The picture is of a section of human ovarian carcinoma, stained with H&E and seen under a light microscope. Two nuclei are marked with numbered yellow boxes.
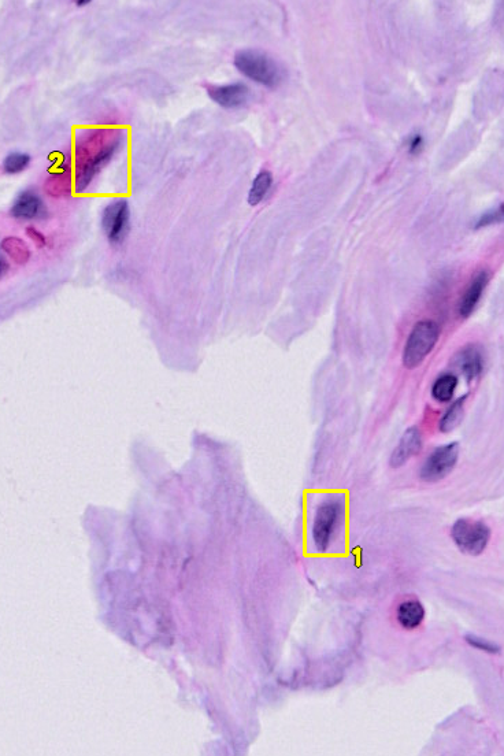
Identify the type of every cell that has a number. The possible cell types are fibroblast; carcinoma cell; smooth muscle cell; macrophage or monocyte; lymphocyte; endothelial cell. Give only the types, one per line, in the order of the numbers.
fibroblast
endothelial cell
